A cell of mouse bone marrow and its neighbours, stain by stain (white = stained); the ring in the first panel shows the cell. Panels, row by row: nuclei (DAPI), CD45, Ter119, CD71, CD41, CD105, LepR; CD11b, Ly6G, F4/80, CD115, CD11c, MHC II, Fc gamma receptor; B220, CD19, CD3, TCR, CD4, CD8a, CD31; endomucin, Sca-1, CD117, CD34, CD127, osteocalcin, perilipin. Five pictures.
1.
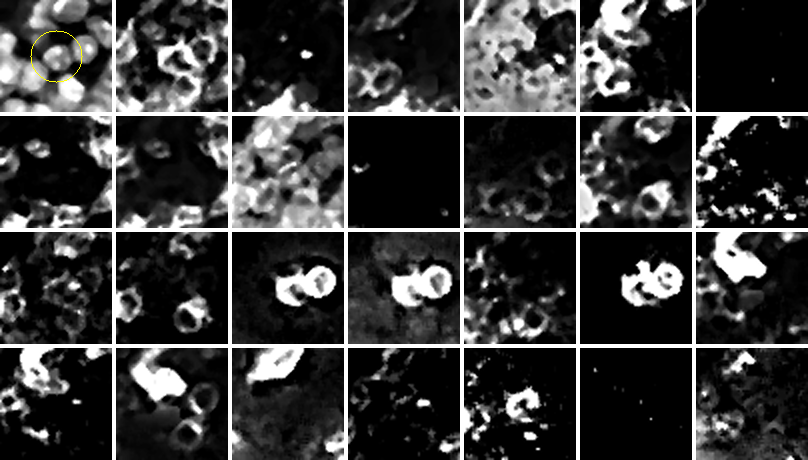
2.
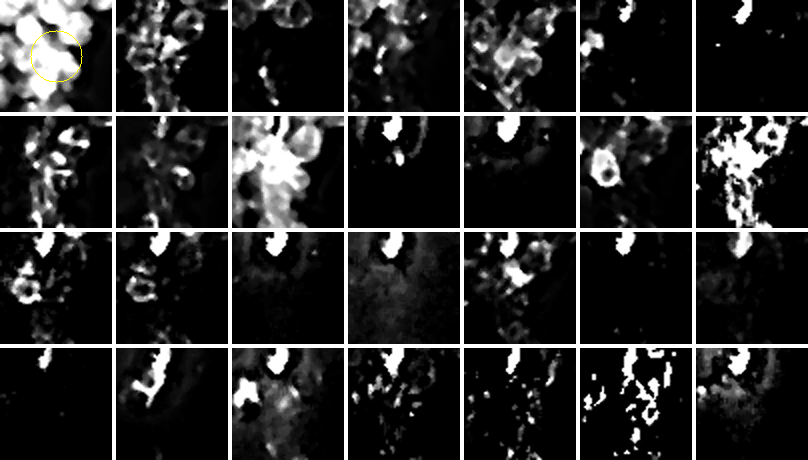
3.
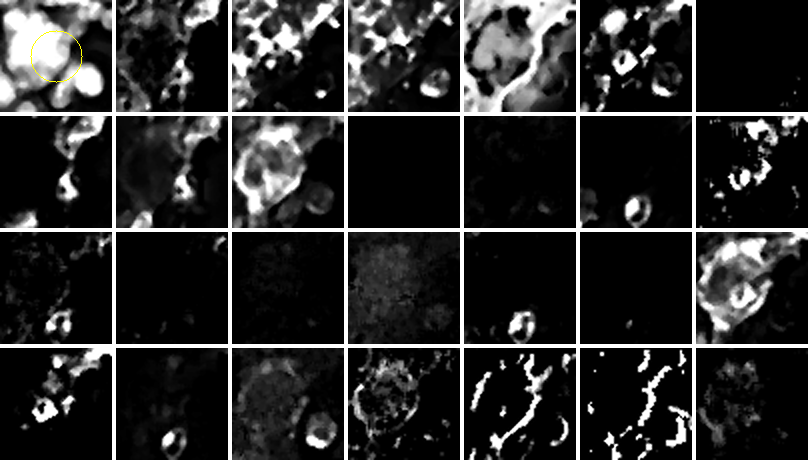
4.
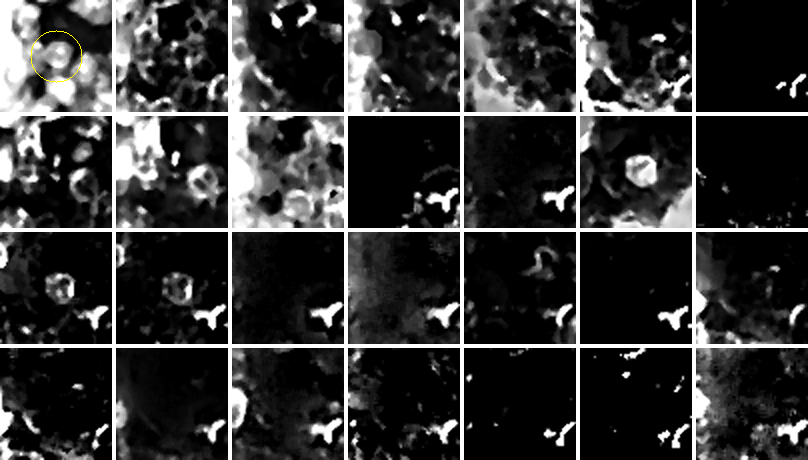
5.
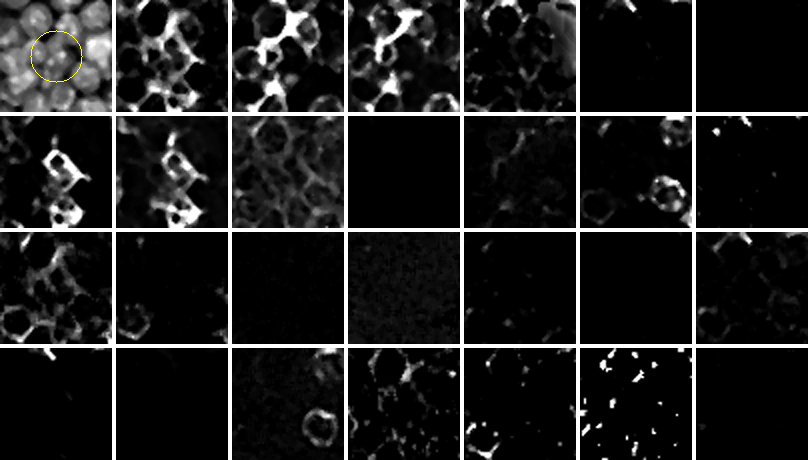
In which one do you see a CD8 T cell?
In picture 1.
